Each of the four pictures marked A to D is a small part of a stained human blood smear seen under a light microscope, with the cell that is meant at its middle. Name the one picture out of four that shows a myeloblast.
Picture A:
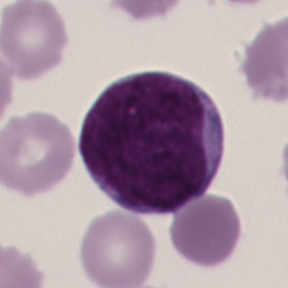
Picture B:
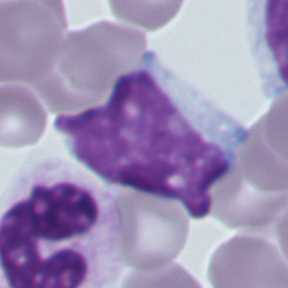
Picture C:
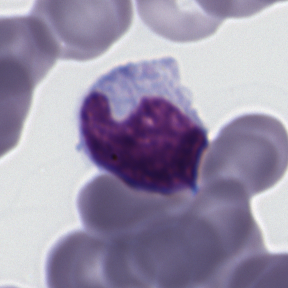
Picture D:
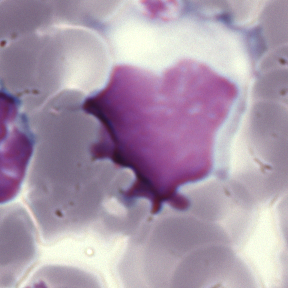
A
